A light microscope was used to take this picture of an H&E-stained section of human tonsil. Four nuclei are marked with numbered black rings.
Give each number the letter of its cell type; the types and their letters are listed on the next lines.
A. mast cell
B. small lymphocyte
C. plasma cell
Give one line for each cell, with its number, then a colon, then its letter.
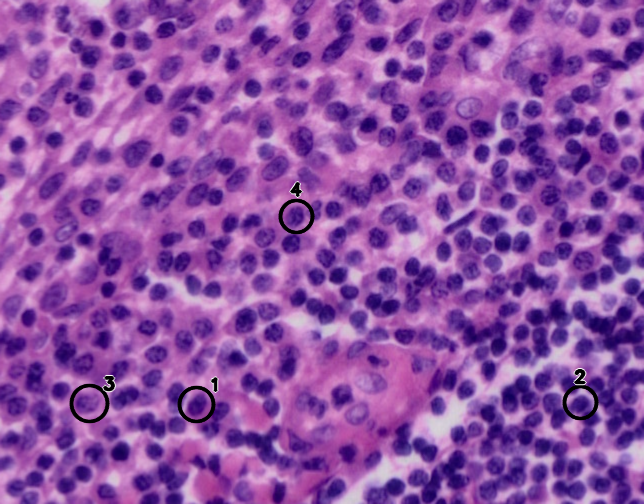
1: C
2: B
3: C
4: C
